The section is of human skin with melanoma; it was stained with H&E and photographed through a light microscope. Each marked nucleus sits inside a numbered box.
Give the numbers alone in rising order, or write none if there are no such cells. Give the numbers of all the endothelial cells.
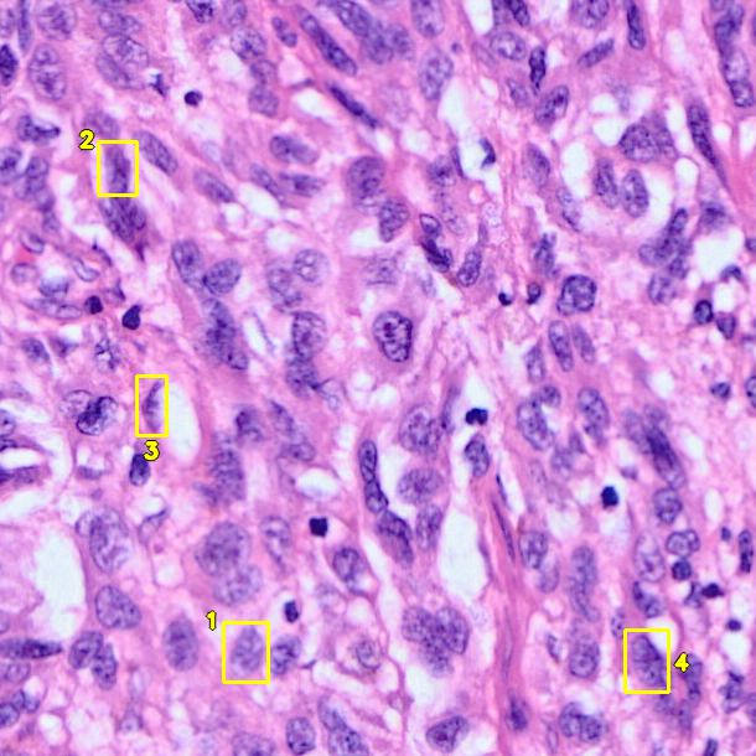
3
